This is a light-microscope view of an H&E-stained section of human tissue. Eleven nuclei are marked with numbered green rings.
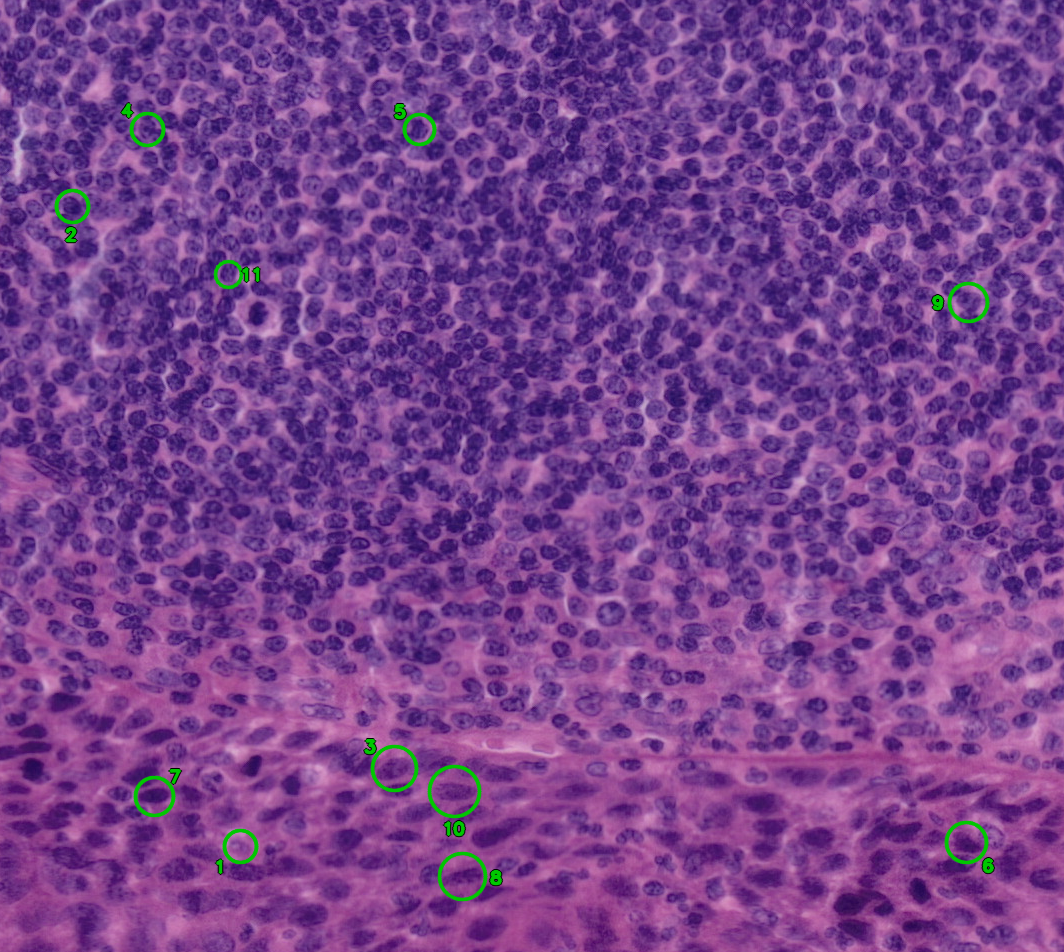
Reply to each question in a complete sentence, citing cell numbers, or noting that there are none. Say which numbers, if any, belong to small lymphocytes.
The cells with the numbers 2, 4, 5, 9 and 11 are small lymphocytes.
